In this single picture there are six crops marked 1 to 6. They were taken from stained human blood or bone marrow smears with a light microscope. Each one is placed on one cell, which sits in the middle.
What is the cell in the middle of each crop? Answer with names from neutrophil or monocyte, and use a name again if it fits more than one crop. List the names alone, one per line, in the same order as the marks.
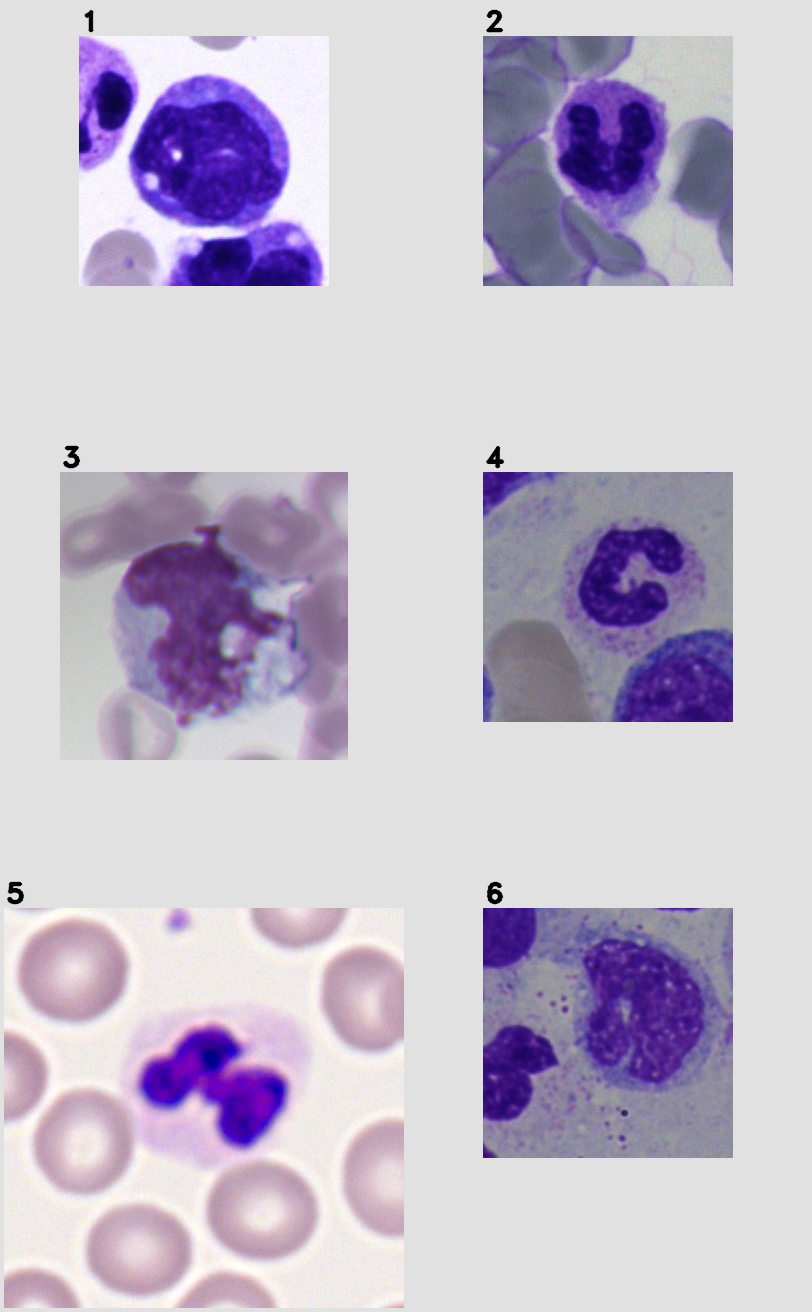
monocyte
neutrophil
monocyte
neutrophil
neutrophil
monocyte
